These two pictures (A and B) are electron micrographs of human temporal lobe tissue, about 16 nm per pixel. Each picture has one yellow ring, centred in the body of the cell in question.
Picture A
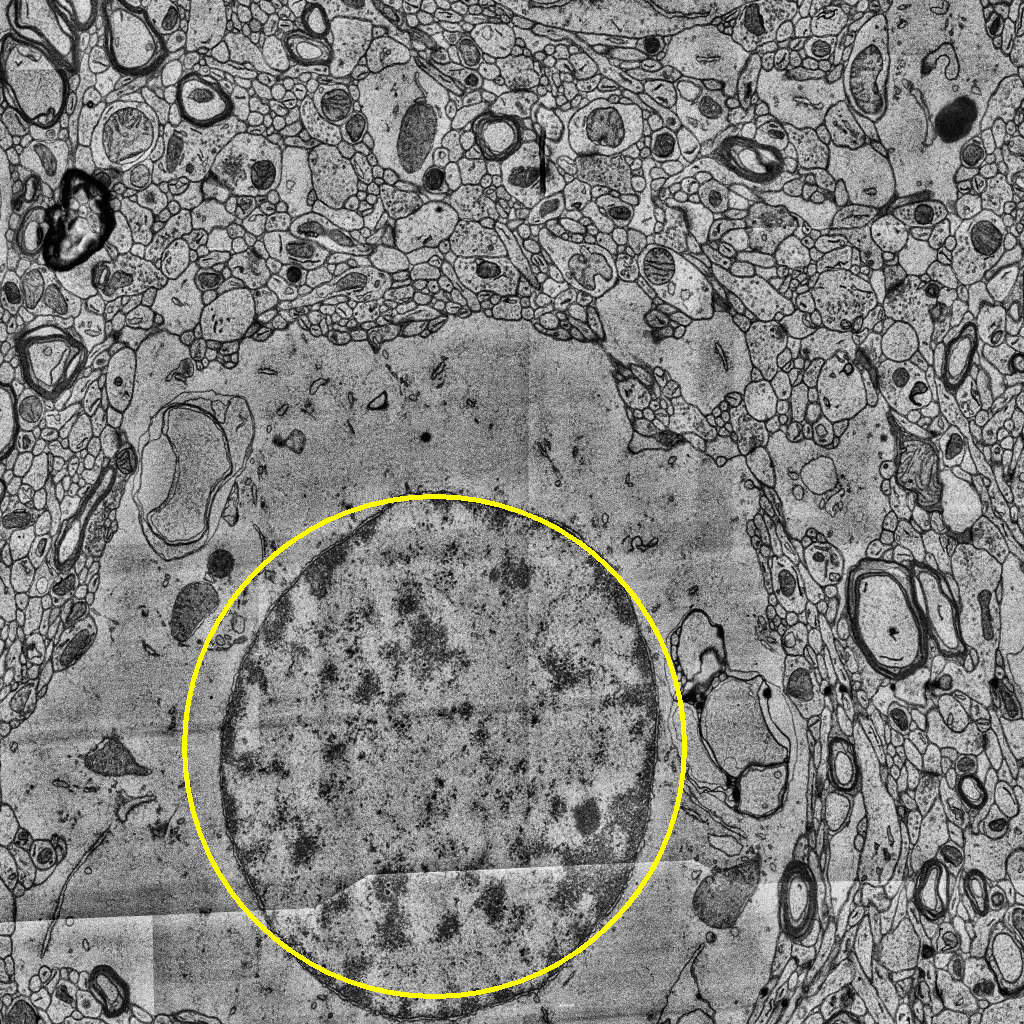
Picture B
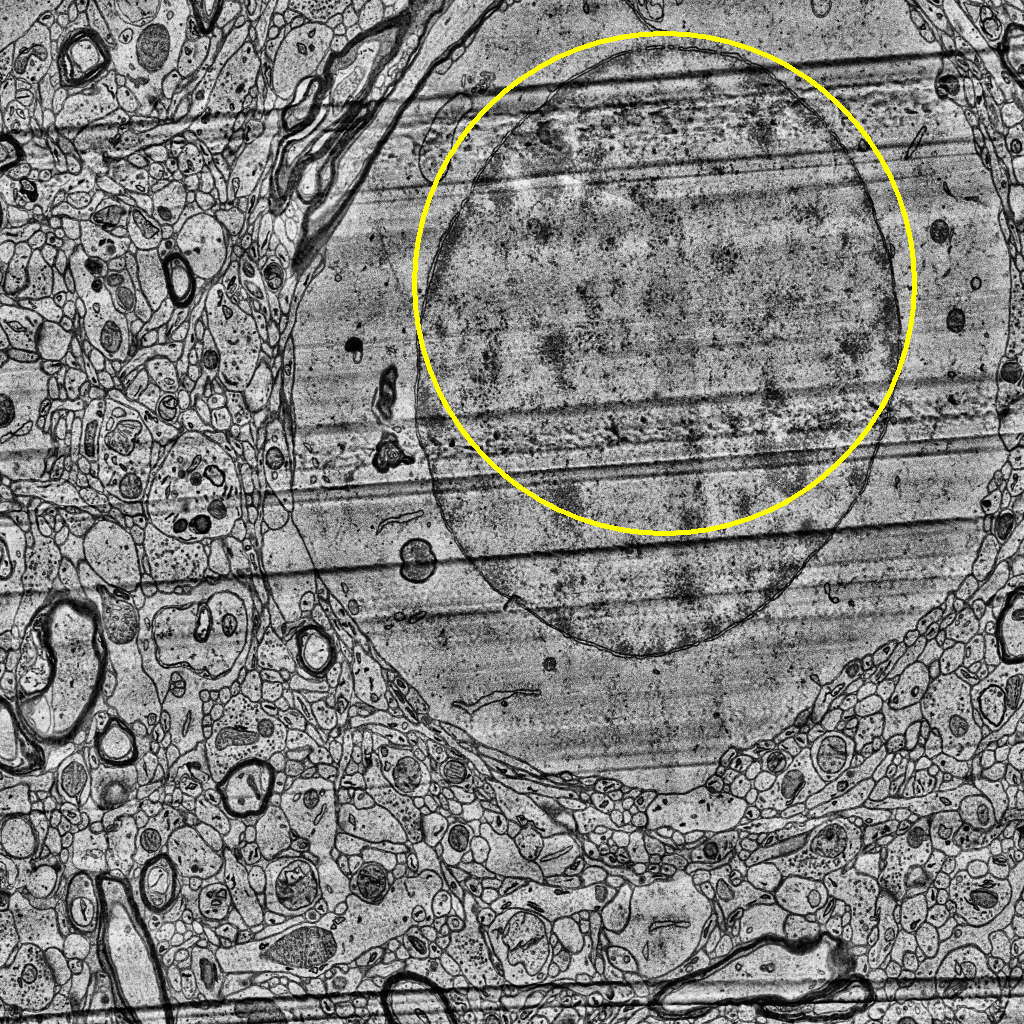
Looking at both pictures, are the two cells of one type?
Yes; the cells in both pictures are astrocytes.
